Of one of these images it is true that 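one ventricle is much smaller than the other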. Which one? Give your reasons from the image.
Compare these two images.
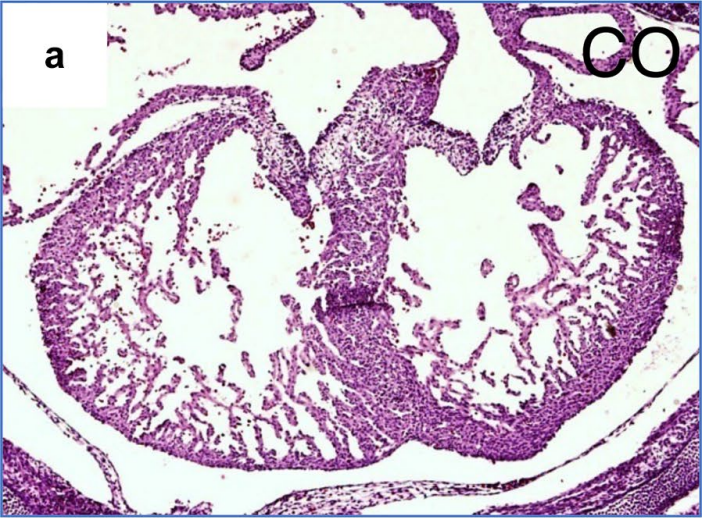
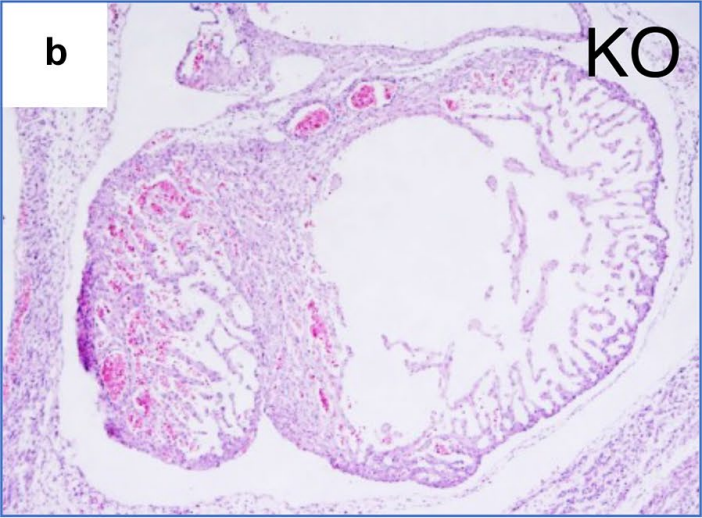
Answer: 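Second image: the chamber on the left is small and mostly filled with trabecular tissue, while the right chamber is large and open. First image: the two ventricular chambers are of roughly similar size. On this evidence: the second image.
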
